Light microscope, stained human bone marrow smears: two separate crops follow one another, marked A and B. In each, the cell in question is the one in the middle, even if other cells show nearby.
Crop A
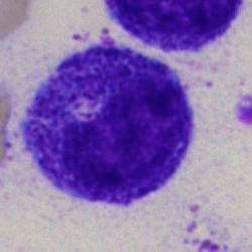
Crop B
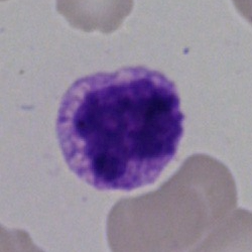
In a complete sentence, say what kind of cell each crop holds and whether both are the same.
No, crop A and crop B show a promyelocyte and a basophil respectively.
